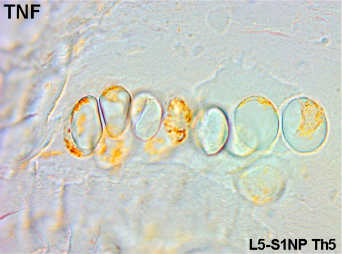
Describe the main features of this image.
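These are chondrocytes of the disc, lying in a group within the extracellular matrix. The lacunae are packed side by side in a row, forming a cluster of similar size cells. Brown, granular stain fills the cytoplasm of several of the cells in the group, while the surrounding matrix stays pale blue-grey.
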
